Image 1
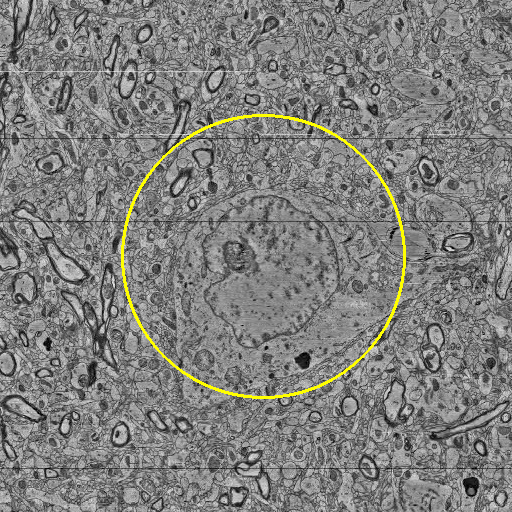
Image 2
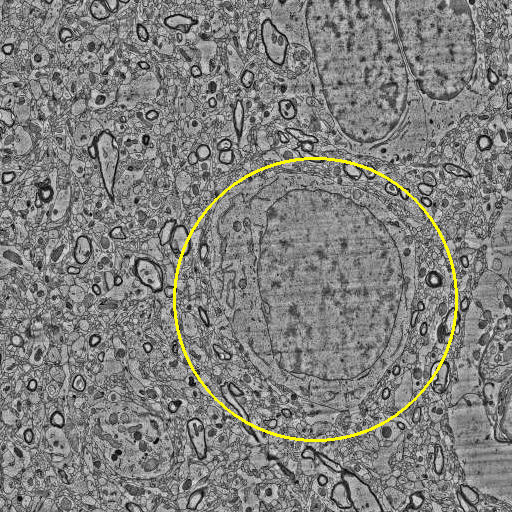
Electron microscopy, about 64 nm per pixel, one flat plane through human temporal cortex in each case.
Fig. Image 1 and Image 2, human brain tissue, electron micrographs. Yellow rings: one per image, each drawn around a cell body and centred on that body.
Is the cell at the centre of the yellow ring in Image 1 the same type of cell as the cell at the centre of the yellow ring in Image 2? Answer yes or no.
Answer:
yes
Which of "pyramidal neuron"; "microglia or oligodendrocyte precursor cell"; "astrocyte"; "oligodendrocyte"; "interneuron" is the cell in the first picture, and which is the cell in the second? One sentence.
In the first picture and in the second, the ring is centred on a pyramidal neuron.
